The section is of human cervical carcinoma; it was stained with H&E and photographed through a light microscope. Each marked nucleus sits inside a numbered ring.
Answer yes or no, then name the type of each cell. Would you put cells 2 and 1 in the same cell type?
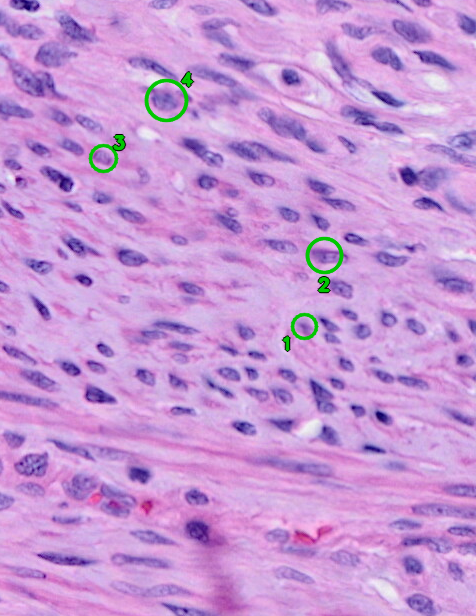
Yes, and to be precise, cells 2 and 1 are both smooth muscle cells.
